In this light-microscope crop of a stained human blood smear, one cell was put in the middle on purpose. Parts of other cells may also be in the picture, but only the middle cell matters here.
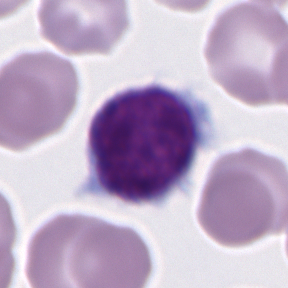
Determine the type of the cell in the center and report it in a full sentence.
Centred in the crop is a hairy cell.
